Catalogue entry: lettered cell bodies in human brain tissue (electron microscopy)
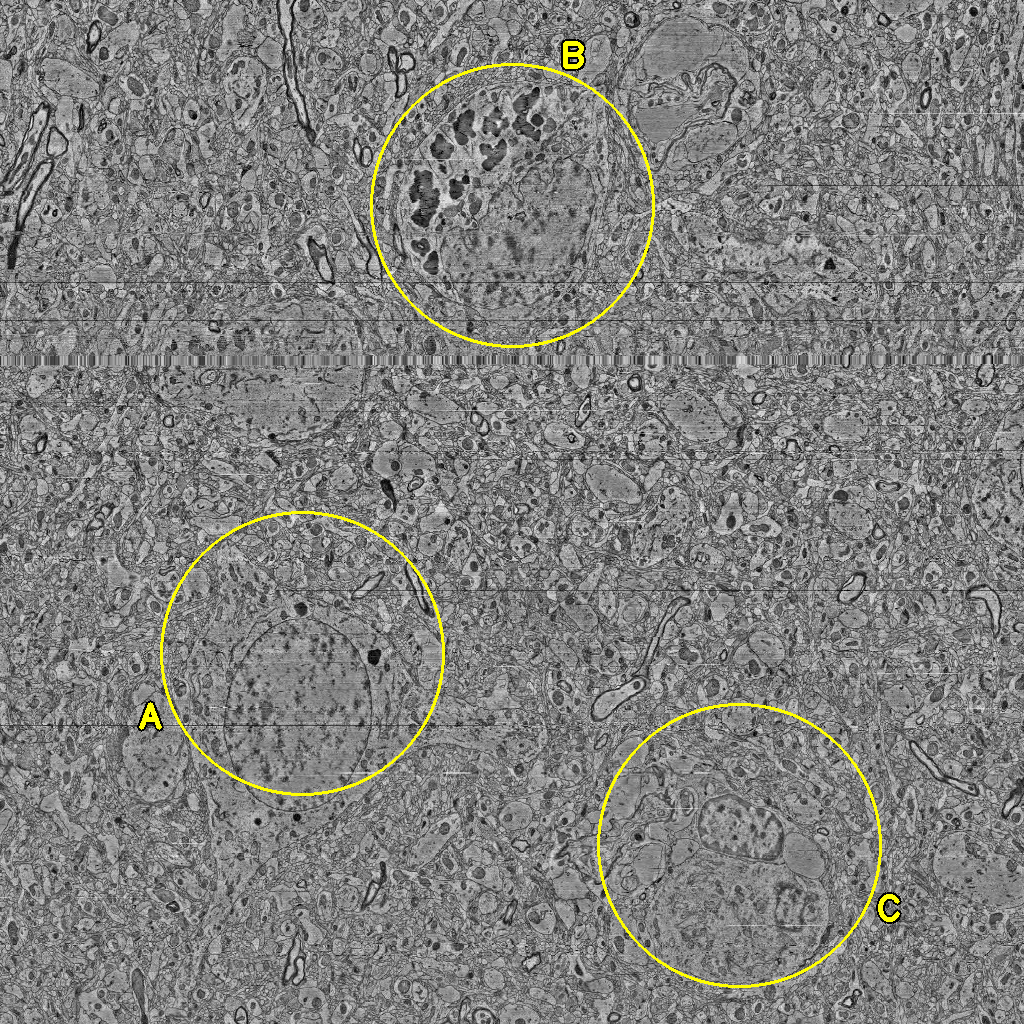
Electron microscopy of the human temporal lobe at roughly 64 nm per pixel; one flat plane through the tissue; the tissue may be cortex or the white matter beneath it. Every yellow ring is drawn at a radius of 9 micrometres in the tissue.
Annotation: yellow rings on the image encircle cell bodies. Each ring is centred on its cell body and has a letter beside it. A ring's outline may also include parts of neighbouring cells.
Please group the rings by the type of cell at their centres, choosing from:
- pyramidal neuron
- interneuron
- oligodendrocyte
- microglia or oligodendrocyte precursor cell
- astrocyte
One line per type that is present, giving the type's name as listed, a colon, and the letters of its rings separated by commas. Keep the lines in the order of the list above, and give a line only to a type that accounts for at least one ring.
pyramidal neuron: A
interneuron: B
microglia or oligodendrocyte precursor cell: C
